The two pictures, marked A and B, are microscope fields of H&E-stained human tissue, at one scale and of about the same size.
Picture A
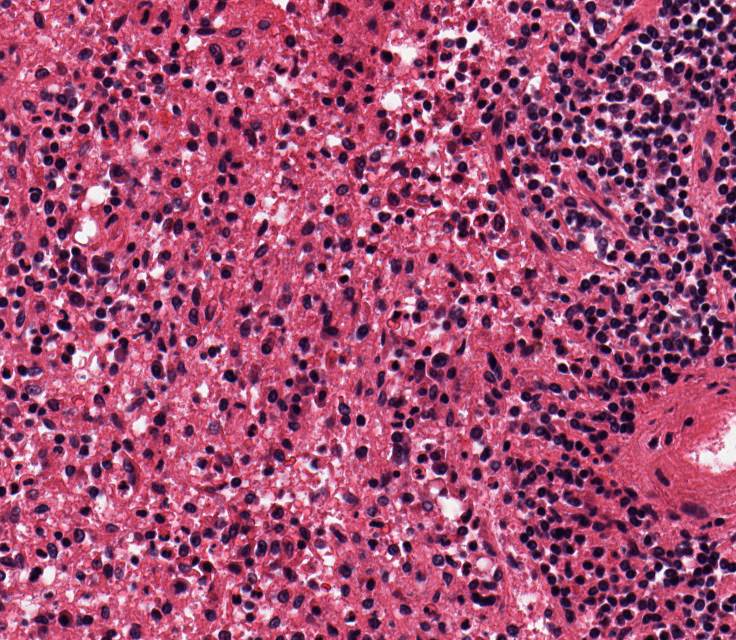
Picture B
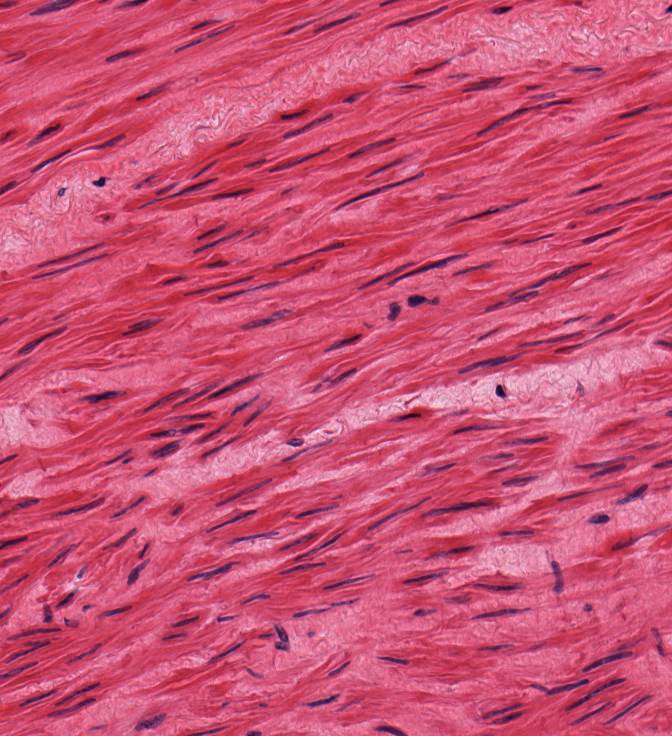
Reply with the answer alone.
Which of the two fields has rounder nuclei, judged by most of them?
A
